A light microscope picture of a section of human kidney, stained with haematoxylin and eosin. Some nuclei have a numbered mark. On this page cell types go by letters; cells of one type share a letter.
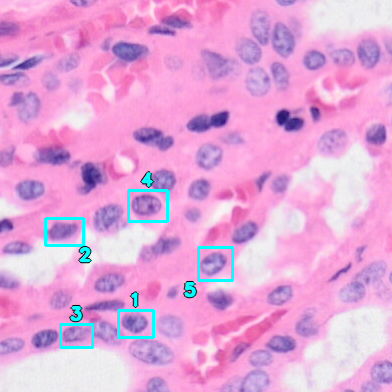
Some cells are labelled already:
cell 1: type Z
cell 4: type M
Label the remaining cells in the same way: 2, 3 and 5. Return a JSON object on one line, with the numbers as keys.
{"2": "type M", "3": "type Z", "5": "type M"}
